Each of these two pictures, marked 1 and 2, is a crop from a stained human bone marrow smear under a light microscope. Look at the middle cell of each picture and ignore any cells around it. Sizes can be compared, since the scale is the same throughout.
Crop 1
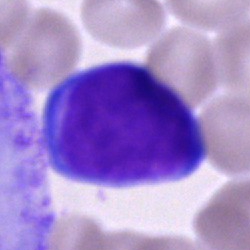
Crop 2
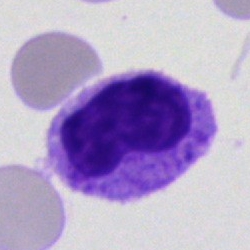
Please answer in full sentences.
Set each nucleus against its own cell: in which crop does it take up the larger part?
The nucleus fills more of the cell in crop 1 than in crop 2.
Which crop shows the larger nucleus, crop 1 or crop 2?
The nucleus in crop 1 is larger, with about 1.5 times the area of the one in crop 2.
